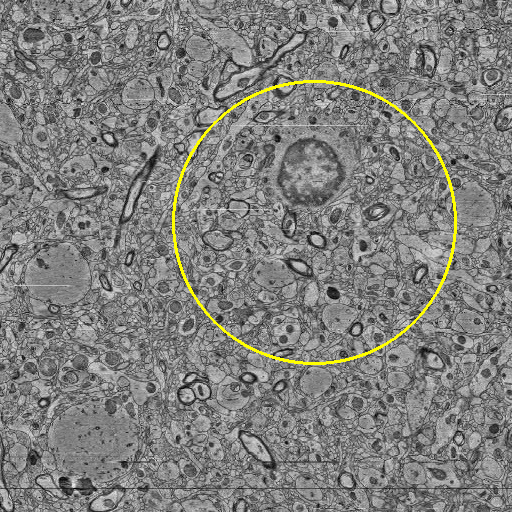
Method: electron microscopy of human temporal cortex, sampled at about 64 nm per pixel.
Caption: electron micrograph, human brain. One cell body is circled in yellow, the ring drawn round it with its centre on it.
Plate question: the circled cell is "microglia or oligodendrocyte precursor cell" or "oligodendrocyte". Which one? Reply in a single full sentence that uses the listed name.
The yellow ring on the plate is centred on an oligodendrocyte, going by the listed names.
